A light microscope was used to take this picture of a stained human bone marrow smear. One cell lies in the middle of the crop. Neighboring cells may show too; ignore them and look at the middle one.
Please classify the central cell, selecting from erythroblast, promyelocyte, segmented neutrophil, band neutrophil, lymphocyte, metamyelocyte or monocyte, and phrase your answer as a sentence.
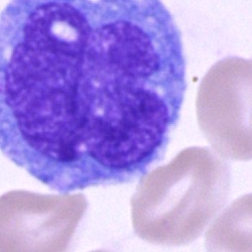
The middle cell in this particular crop is a monocyte.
